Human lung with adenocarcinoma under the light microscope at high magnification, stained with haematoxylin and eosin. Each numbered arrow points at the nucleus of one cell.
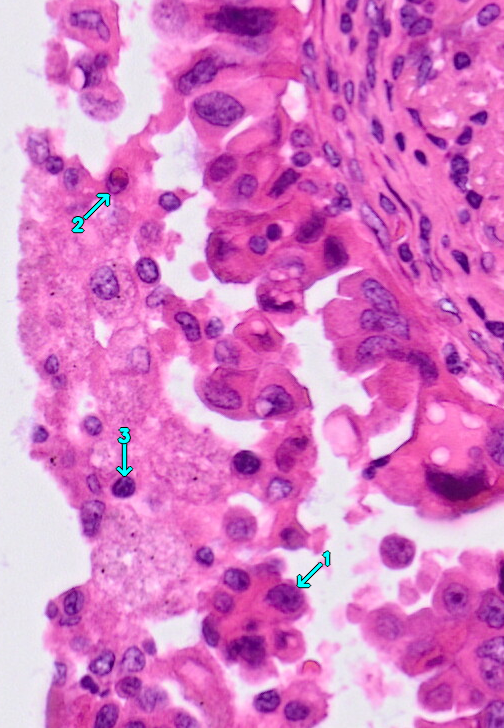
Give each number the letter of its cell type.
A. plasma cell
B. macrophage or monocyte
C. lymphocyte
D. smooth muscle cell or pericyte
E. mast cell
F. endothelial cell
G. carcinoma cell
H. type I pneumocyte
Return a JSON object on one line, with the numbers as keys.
{"1": "G", "2": "B", "3": "A"}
